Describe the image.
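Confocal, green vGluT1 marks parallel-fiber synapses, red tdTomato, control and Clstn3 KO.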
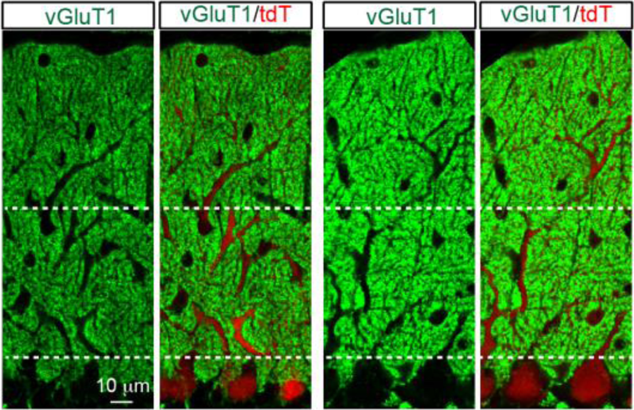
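Running through it are dark unstained tracks where dendrites pass, and small round dark holes. In the merged images these tracks are partly red: dendrites of Purkinje cells ascending from the large red cell bodies lined up at the bottom, which themselves carry little green.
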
